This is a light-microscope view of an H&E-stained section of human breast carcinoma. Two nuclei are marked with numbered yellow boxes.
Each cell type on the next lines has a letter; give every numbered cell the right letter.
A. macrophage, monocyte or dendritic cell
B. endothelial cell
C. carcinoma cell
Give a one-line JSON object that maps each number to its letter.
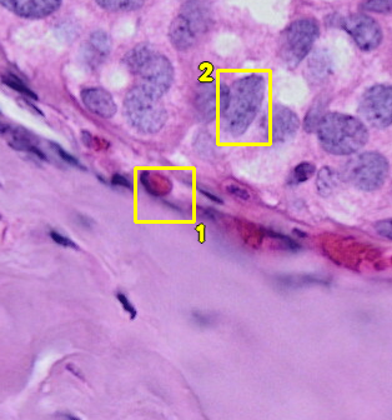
{"1": "B", "2": "C"}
